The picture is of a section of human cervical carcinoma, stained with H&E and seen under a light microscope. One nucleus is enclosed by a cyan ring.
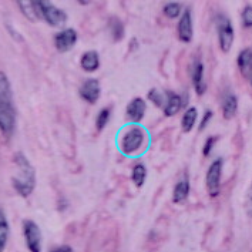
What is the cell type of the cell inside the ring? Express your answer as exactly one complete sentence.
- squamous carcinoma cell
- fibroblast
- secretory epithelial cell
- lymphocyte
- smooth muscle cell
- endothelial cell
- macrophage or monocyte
It is as a smooth muscle cell that the cell inside the ring is recorded.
